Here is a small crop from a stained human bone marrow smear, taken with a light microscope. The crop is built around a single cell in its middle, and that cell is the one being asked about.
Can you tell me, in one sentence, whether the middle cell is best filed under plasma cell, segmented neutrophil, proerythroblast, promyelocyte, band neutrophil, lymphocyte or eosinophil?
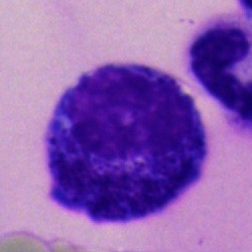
The cell nearest the centre of this crop is a promyelocyte.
